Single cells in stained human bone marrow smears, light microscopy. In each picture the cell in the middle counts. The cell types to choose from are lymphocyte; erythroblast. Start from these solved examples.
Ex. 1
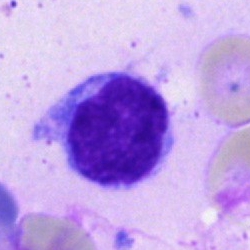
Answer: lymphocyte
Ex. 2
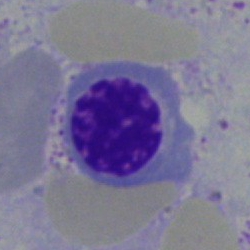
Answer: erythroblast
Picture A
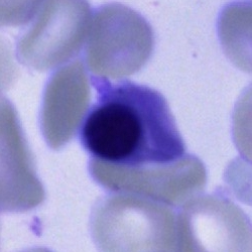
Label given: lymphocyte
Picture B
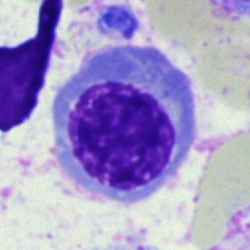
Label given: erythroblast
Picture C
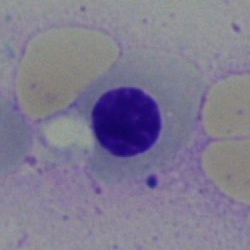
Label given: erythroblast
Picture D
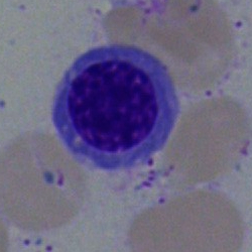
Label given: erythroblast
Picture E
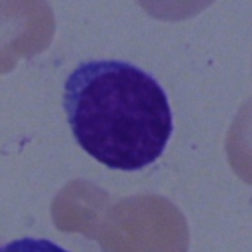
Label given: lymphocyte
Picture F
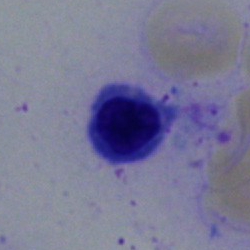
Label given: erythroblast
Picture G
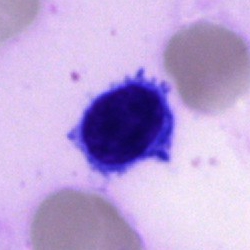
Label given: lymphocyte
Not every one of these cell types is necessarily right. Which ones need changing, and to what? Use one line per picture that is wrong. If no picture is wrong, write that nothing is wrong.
A: change lymphocyte to erythroblast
